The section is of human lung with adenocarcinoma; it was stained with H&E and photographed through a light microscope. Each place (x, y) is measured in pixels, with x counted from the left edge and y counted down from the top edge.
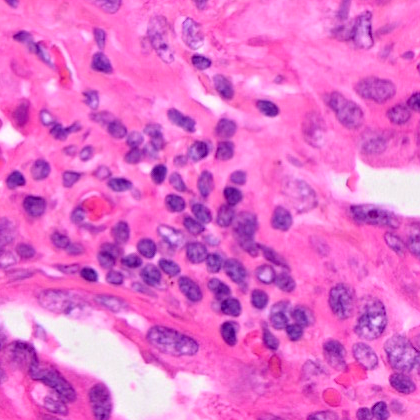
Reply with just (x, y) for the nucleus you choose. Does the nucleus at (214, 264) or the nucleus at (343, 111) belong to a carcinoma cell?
(343, 111)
